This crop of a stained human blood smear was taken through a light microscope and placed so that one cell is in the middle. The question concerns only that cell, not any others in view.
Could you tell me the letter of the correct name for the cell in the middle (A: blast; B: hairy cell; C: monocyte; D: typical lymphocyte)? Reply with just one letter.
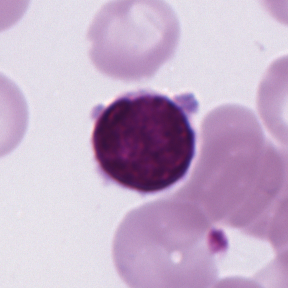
D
